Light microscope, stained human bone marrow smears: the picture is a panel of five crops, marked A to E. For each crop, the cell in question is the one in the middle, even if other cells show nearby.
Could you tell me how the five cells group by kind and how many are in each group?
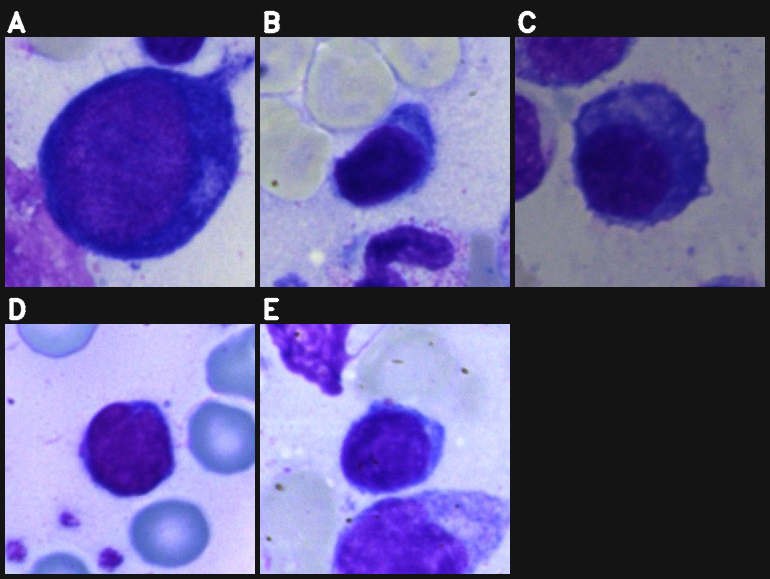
lymphocyte: 3
proerythroblast: 1
plasma cell: 1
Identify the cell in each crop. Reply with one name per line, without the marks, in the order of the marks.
proerythroblast
lymphocyte
plasma cell
lymphocyte
lymphocyte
